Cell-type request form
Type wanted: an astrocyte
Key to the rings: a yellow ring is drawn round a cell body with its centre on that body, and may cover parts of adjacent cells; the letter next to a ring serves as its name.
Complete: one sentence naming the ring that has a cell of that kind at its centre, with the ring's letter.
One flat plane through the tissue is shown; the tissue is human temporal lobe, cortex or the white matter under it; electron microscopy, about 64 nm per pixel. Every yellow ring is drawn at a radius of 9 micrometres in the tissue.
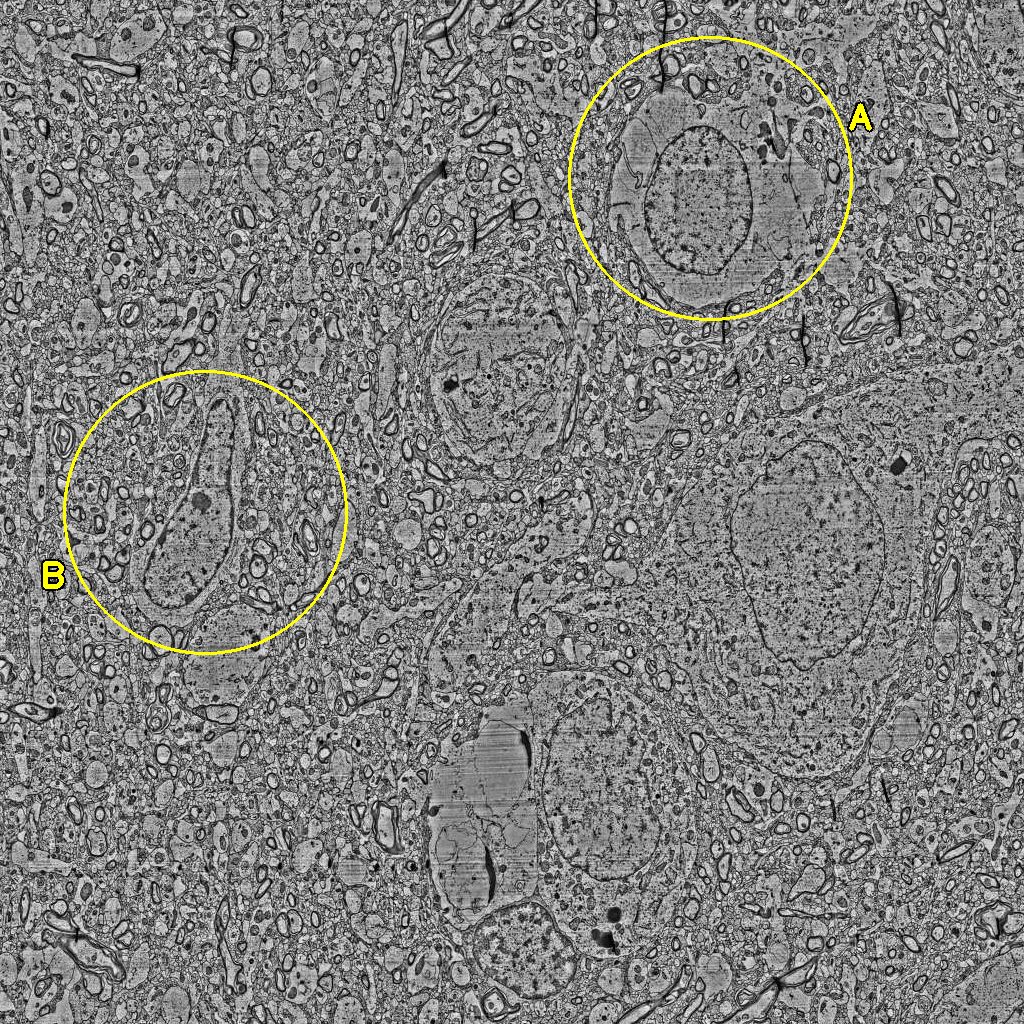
A cell of that kind sits at the centre of the ring labelled A.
